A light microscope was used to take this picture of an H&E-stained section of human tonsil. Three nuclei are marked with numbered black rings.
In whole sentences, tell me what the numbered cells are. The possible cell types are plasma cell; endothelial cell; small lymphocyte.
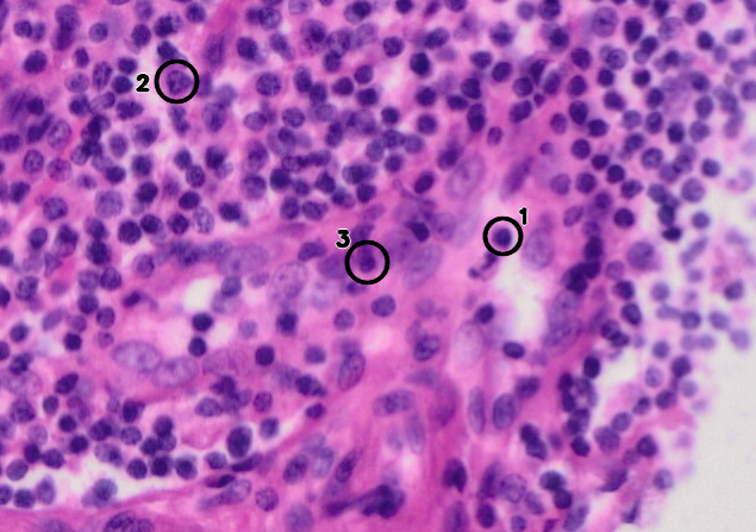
Cells 1 and 3 are endothelial cells. Cell 2 is a plasma cell.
